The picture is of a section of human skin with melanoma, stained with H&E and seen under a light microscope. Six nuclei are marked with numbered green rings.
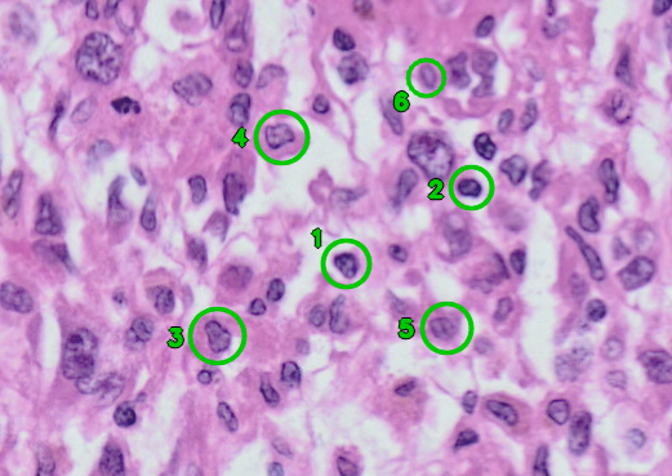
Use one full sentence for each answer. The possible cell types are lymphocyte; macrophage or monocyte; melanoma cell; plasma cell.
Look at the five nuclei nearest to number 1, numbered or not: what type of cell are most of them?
Of the five nuclei nearest to number 1, most belong to macrophages or monocytes.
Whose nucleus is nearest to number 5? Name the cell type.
The cell nearest to number 5 is a macrophage or monocyte.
